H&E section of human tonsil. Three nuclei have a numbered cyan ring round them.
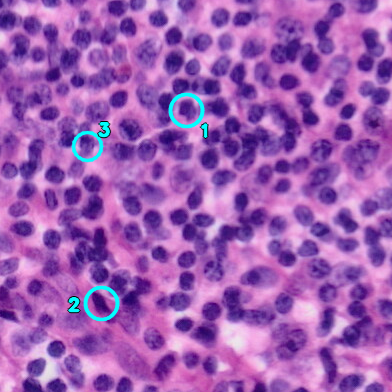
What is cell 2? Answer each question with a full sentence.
As for number 2, that cell is an endothelial cell.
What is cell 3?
Cell number 3 in this section is a small lymphocyte.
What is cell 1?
The one labeled 1 is a small lymphocyte, to put it simply.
